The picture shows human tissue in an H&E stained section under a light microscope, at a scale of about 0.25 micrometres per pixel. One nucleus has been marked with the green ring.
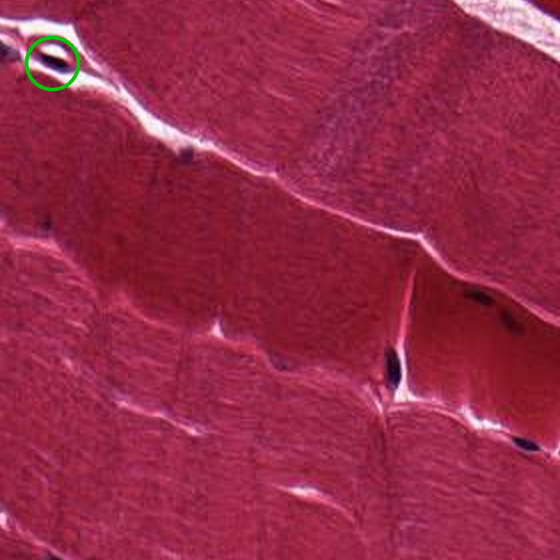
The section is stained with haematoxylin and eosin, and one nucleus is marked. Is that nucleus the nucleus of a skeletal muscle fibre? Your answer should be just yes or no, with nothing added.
no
